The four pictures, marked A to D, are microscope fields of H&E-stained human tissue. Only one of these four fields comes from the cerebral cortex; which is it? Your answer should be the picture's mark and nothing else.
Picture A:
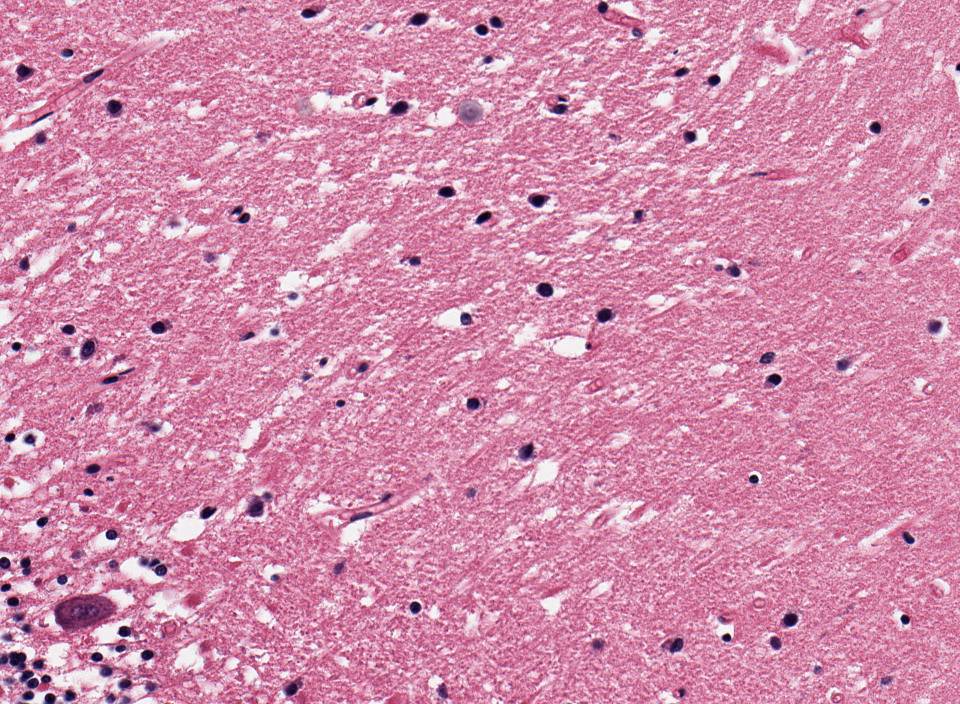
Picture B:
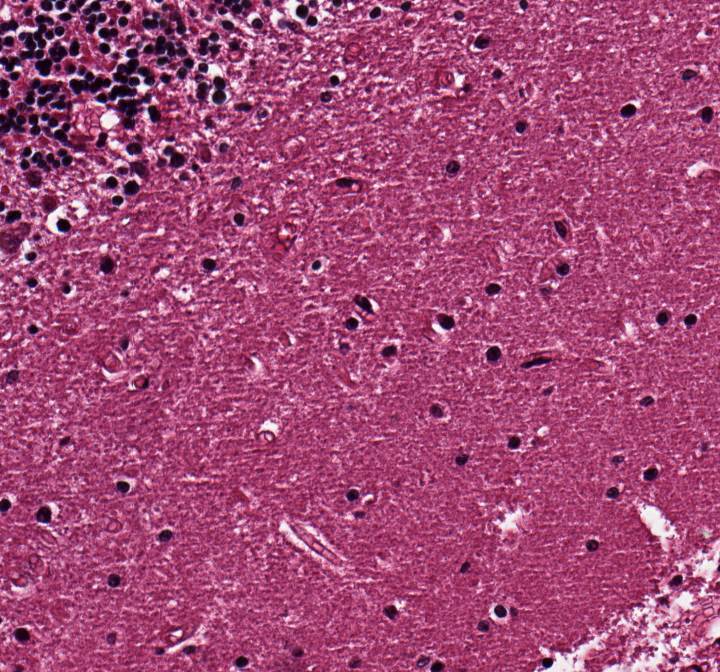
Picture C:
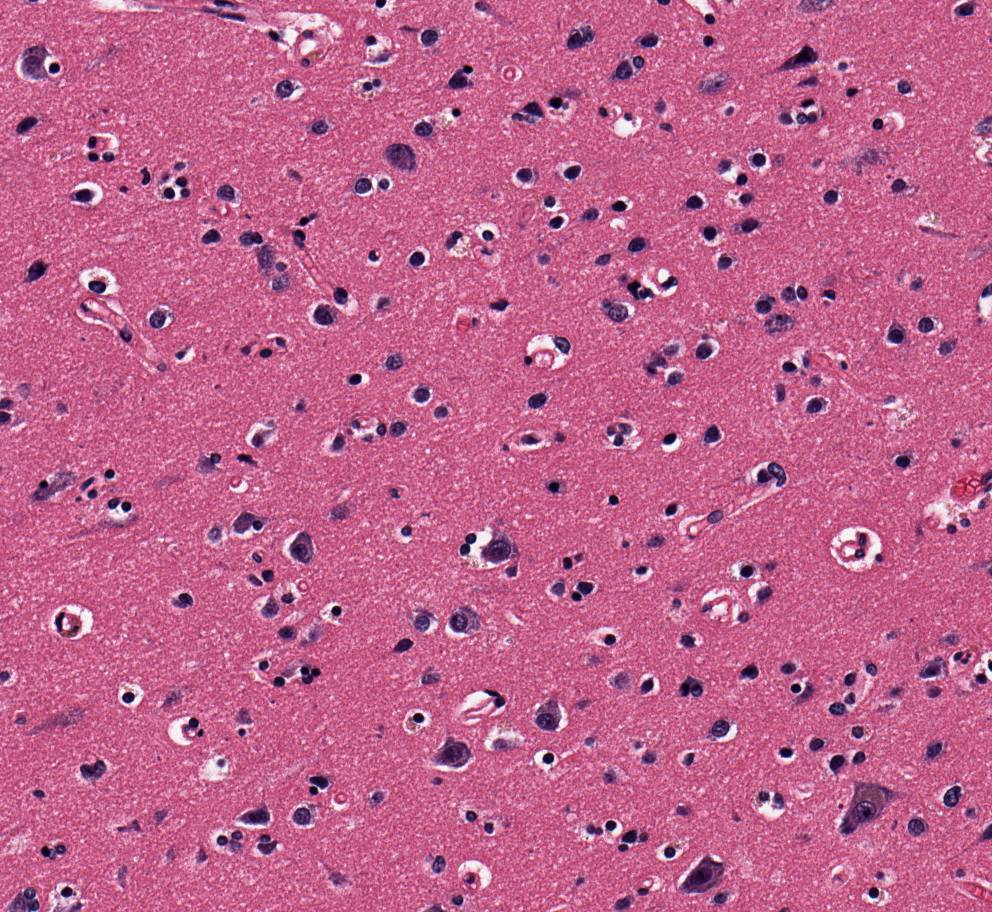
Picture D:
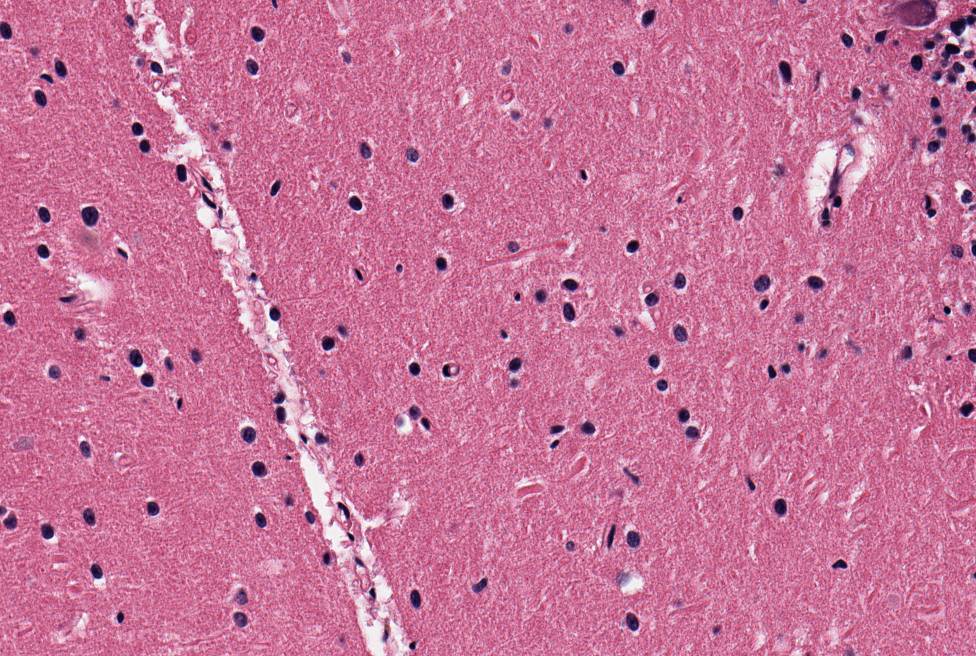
C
